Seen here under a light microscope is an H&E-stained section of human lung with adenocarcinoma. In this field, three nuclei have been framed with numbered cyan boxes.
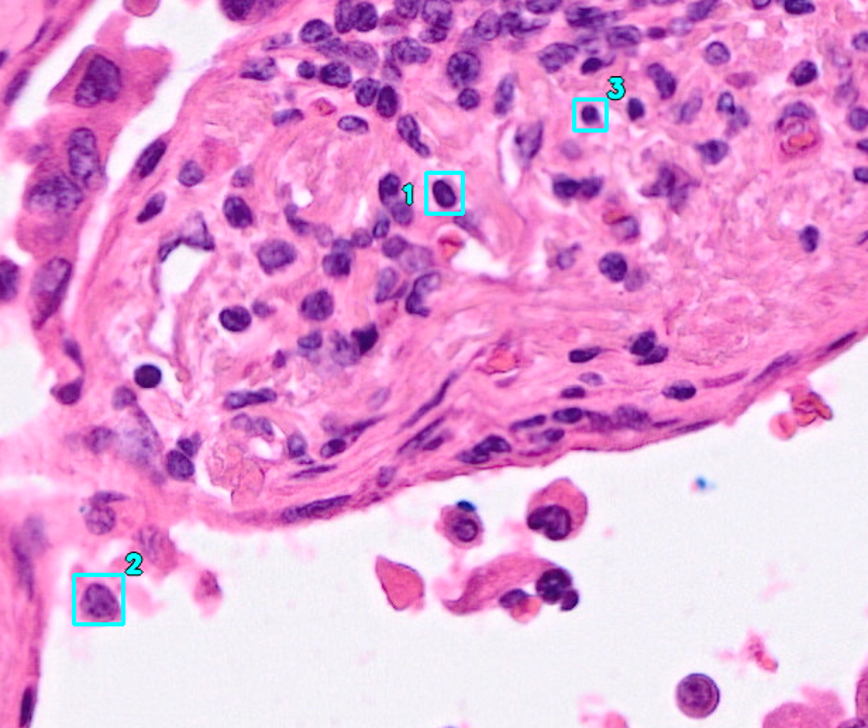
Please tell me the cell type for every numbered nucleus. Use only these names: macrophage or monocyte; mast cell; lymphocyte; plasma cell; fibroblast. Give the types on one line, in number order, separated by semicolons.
lymphocyte; macrophage or monocyte; lymphocyte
